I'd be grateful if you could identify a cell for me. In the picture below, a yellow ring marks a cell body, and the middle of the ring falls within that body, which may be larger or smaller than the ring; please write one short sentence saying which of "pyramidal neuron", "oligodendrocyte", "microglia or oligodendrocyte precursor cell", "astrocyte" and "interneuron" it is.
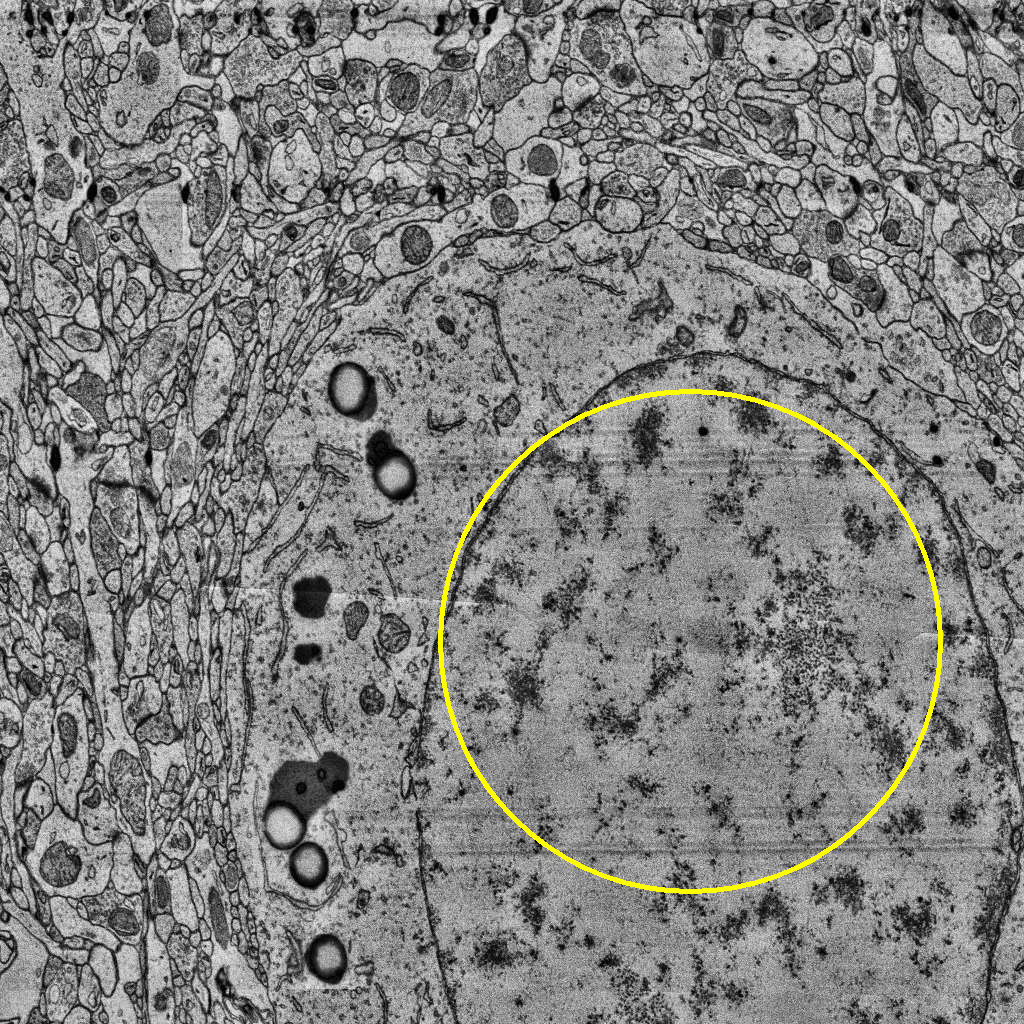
The cell under the ring's centre is a pyramidal neuron.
